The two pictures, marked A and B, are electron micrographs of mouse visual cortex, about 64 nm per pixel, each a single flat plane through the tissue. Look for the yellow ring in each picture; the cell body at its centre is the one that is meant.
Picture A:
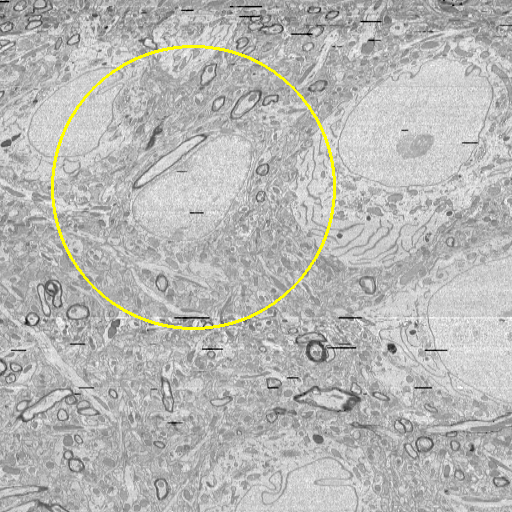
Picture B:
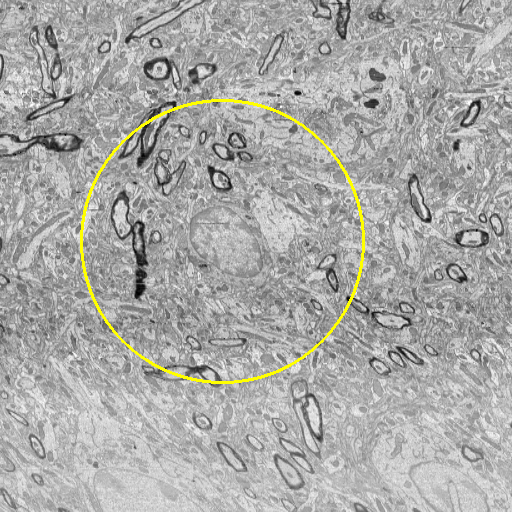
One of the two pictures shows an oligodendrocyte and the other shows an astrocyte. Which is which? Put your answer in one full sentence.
Picture A shows an astrocyte and picture B shows an oligodendrocyte.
